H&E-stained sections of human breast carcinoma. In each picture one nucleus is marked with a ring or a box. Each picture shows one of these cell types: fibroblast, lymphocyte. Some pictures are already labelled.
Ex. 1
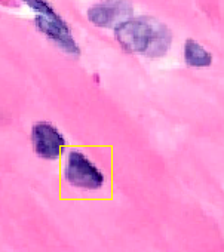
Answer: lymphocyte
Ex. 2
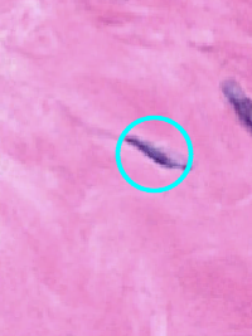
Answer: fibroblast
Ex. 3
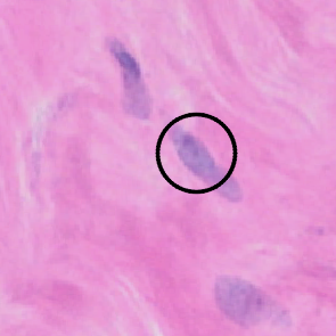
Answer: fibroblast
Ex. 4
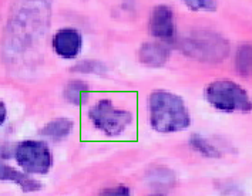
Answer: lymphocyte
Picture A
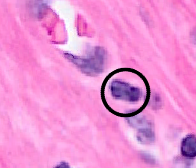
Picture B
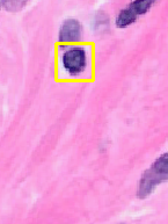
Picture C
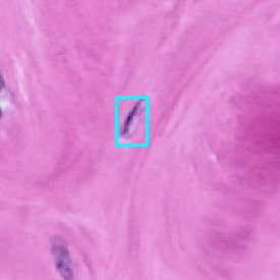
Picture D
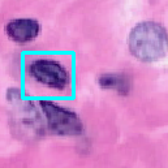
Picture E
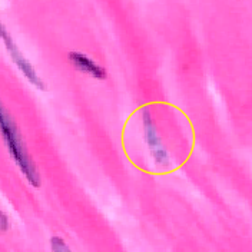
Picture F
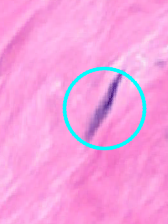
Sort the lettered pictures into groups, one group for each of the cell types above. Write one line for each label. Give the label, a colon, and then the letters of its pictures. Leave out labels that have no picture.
fibroblast: C, E, F
lymphocyte: A, B, D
